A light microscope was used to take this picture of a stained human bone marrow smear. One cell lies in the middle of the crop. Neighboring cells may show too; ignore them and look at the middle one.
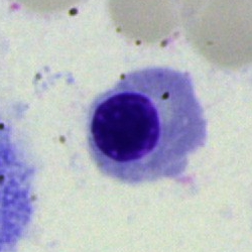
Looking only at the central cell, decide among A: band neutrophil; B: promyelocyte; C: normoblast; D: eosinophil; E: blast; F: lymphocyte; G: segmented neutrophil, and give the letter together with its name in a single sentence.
The middle of the crop contains a normoblast, so option C is right.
